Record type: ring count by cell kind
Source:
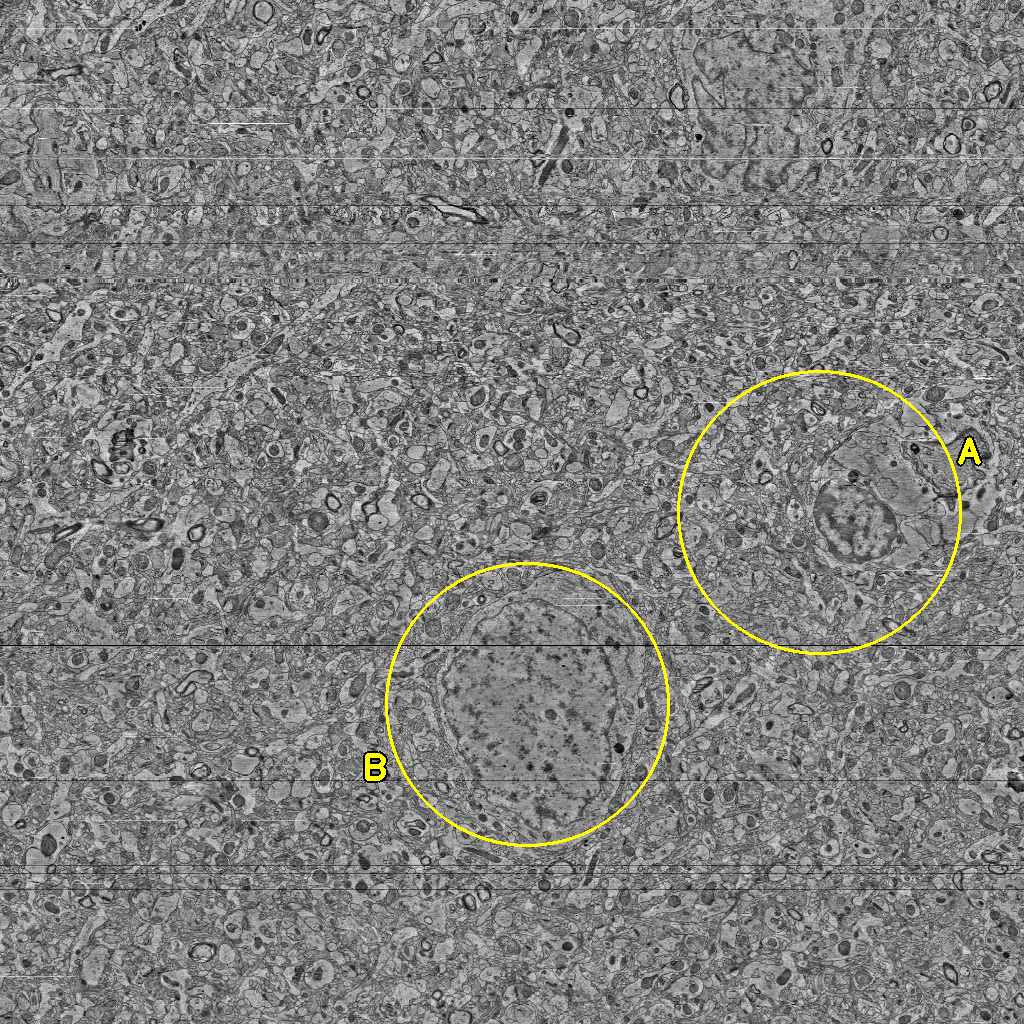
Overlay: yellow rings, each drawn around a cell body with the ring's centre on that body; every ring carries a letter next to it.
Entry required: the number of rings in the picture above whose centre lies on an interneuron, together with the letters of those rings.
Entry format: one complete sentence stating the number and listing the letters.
A single yellow ring is centred on an interneuron, and that ring has the letter B.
